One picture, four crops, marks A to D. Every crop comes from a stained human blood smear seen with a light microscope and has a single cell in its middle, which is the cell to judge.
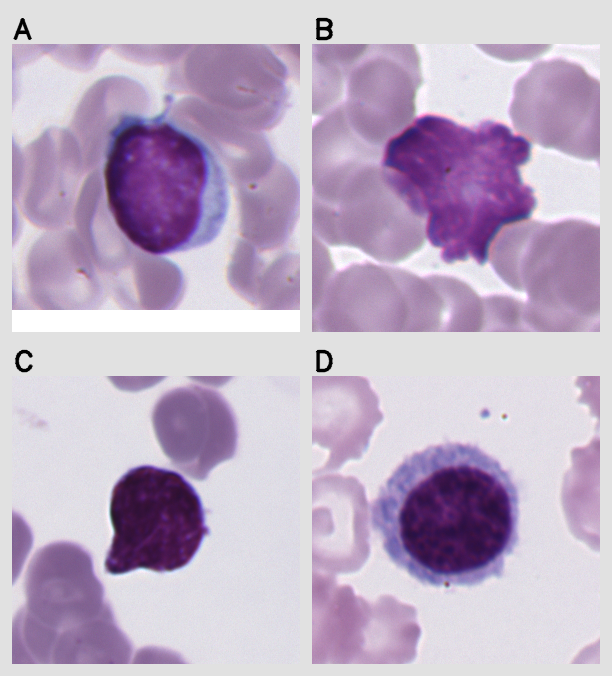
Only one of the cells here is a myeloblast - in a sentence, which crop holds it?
Of these crops, it is crop C that shows a myeloblast.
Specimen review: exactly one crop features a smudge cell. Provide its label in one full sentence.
Crop B, of the crops presented, is the one showing a smudge cell.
